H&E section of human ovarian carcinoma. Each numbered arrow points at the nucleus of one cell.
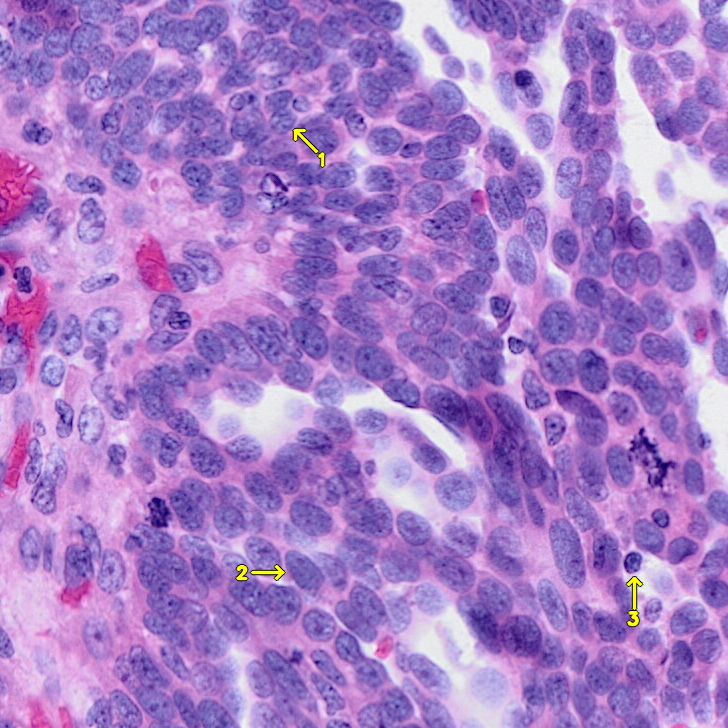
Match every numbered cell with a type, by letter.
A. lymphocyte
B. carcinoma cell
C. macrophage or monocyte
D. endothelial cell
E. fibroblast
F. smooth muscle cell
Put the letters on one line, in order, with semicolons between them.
B; B; A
